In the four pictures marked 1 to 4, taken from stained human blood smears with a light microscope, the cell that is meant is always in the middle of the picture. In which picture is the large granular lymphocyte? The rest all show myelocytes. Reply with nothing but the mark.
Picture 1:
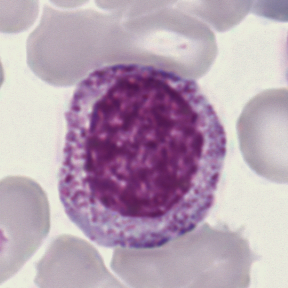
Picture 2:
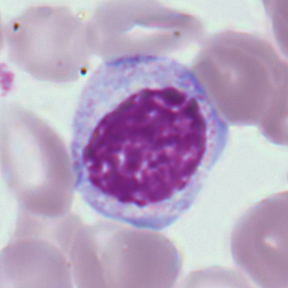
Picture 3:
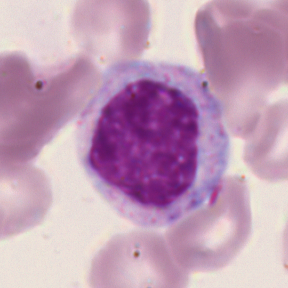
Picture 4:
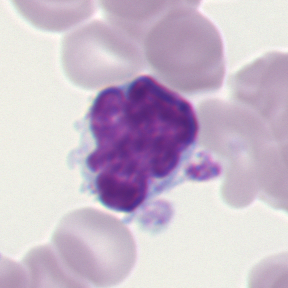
4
